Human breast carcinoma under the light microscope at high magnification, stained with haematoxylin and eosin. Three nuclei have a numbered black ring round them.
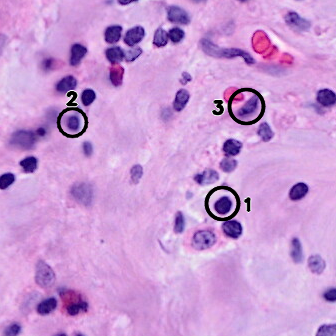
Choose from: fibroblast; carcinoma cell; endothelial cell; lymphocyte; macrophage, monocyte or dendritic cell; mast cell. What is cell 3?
endothelial cell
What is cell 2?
lymphocyte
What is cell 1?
lymphocyte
